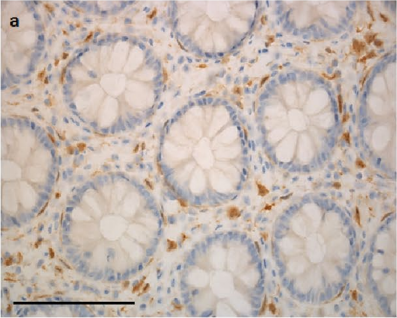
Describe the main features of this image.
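This is colonic mucosa cut across, showing round crypts each lined by a single layer of tall columnar epithelial cells with blue, basally placed nuclei. Most of each crypt is filled with pale, mucus-laden cells that leave a small central lumen. Between the crypts lies loose connective tissue with scattered cells, some of which are stained brown and have irregular or elongated shapes. The epithelium of the crypts itself is unstained.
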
